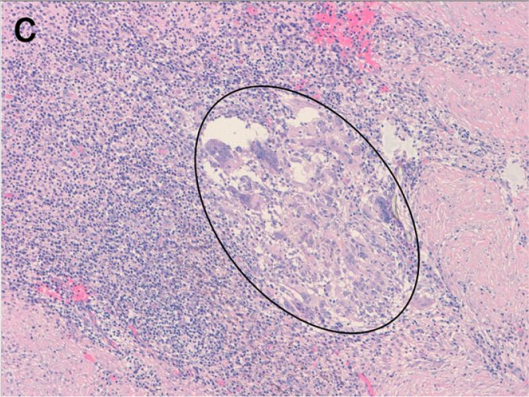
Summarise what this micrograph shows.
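This is a chronic inflammatory lesion containing multinucleated giant cells of foreign body type. In the centre lies a cluster of large cells with abundant pink cytoplasm, several holding many nuclei, next to pale, empty-looking clefts and spaces. Around this cluster is a dense infiltrate of small round cells with dark-blue nuclei and scant cytoplasm, packed in sheets. Toward the edges, pink fibrous connective tissue with fewer cells runs through the field, and small patches of red blood cells lie near the top.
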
